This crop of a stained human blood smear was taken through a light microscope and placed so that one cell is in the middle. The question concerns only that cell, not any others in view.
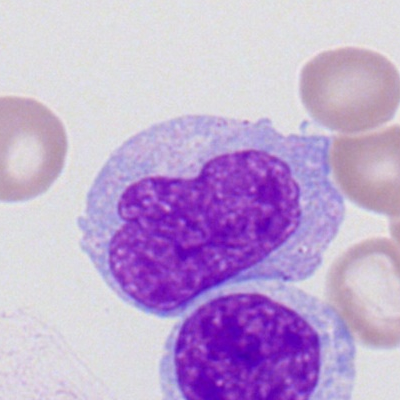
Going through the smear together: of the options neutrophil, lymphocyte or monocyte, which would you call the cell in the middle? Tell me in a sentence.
The crop shows a monocyte in its centre.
